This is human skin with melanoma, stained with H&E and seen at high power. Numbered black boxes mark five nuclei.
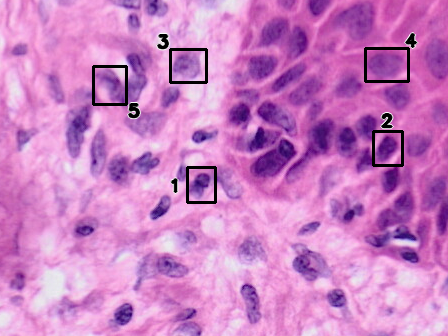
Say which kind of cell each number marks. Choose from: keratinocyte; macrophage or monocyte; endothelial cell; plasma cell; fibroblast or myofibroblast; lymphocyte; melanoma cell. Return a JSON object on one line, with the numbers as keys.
{"1": "lymphocyte", "2": "keratinocyte", "3": "fibroblast or myofibroblast", "4": "keratinocyte", "5": "endothelial cell"}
